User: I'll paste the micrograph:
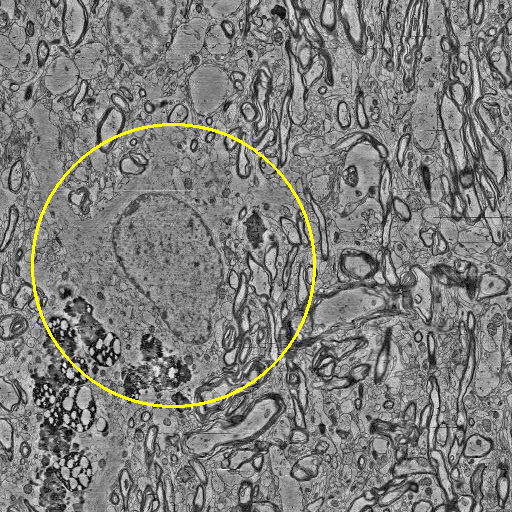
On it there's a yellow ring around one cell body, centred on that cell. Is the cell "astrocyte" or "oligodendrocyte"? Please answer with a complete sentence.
The cell ringed in yellow is an astrocyte.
